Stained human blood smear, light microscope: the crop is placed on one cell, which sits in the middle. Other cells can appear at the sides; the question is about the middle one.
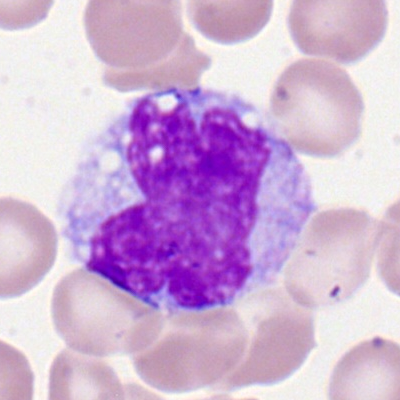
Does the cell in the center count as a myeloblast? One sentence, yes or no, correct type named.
No, the cell found centrally in the crop is a monocyte, not a myeloblast.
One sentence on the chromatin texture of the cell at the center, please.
Coarse clumps are absent, and the chromatin is fine throughout.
